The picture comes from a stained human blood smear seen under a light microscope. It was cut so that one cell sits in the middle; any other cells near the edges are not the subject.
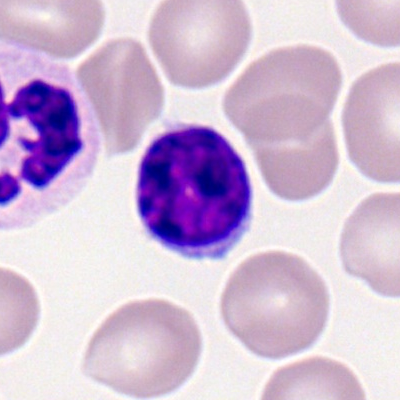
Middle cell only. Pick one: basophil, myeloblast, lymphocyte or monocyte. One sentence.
Classification of the middle cell gives a lymphocyte.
